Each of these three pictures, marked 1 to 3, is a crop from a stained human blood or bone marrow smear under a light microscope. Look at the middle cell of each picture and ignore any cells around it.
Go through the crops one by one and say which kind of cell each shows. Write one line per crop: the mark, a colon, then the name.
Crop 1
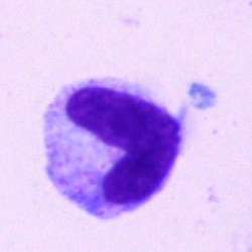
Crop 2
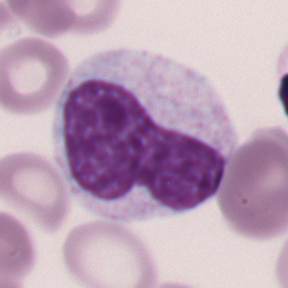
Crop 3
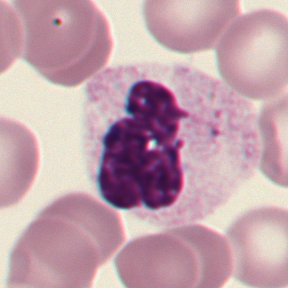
1: band neutrophil
2: band neutrophil
3: segmented neutrophil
